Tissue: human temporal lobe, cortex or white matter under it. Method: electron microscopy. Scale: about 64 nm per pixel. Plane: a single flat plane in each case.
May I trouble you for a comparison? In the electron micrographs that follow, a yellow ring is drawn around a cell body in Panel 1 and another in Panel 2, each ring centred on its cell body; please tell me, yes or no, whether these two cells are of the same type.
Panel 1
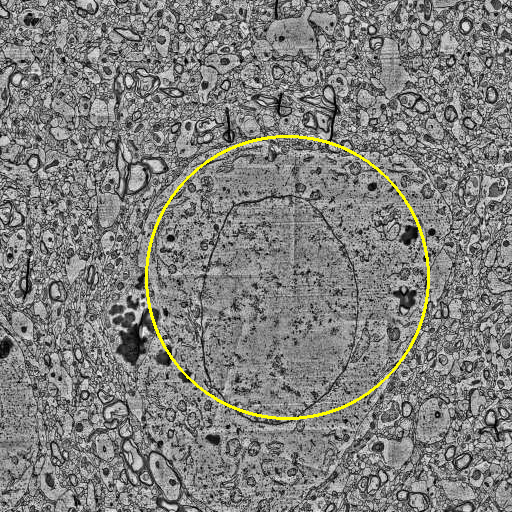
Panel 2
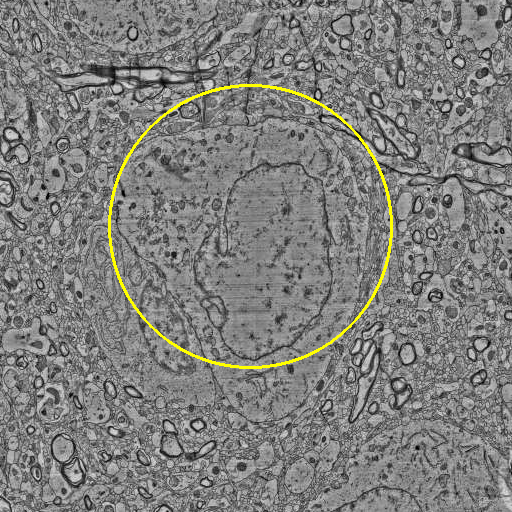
yes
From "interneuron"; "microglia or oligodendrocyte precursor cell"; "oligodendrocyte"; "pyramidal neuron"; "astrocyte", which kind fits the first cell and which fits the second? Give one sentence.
In both pictures the ring is centred on a pyramidal neuron.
